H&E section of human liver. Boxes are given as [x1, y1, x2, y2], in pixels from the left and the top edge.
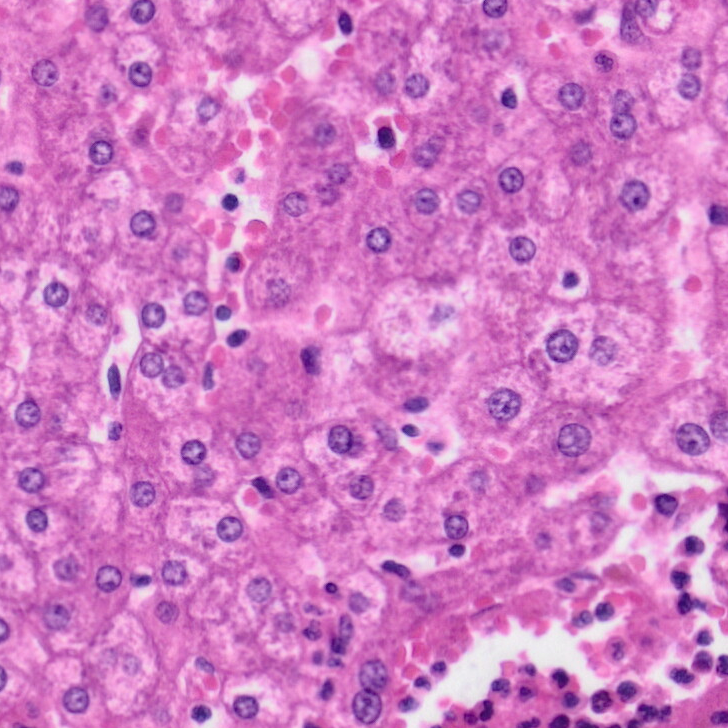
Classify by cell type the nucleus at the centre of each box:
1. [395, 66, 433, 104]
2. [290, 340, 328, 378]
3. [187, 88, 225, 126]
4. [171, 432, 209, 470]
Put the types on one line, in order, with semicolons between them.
hepatocyte; fibroblast or stellate cell; hepatocyte; hepatocyte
